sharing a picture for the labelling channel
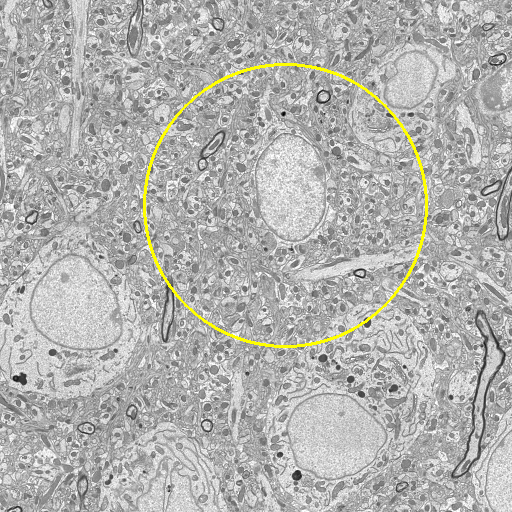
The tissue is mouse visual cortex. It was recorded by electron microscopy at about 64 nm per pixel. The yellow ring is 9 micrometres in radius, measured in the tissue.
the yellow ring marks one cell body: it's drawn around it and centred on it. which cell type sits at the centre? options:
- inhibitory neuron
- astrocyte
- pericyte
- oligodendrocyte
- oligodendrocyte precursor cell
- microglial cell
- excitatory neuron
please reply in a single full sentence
In the picture, the cell at the ring's centre is an astrocyte, going by the list.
